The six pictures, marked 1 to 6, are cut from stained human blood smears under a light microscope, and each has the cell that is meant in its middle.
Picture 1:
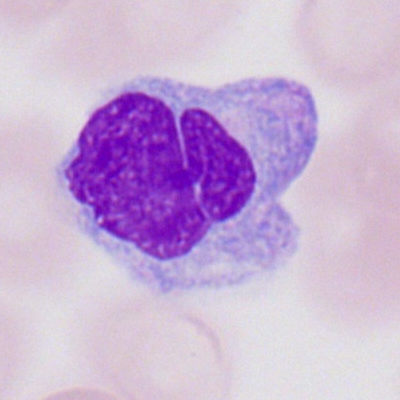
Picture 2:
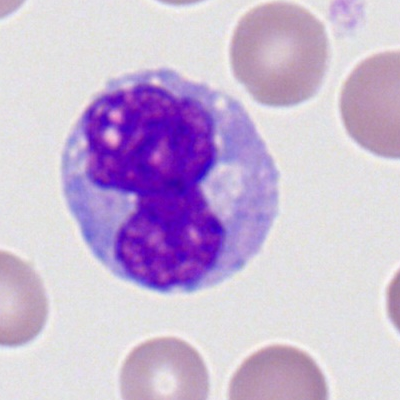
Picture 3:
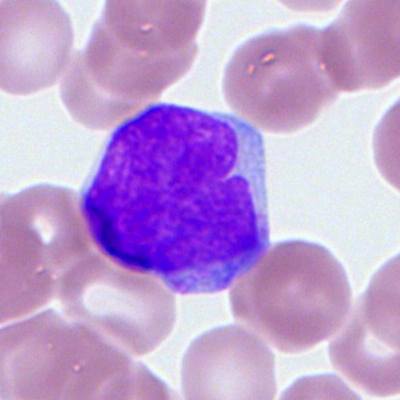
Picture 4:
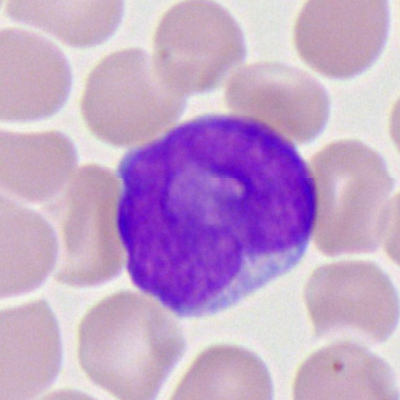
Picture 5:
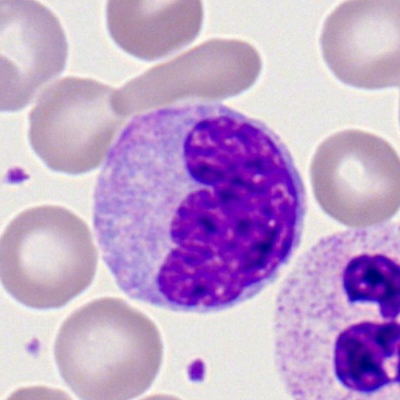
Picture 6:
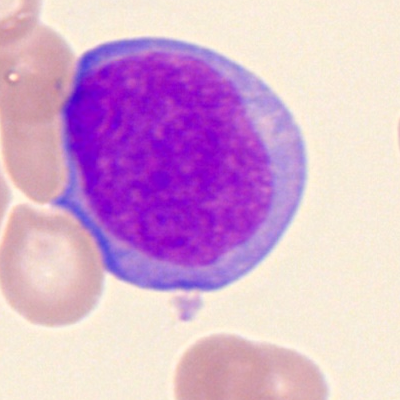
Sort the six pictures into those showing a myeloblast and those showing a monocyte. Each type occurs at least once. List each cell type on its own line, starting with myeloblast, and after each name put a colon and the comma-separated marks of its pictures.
myeloblast: 3, 4, 6
monocyte: 1, 2, 5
